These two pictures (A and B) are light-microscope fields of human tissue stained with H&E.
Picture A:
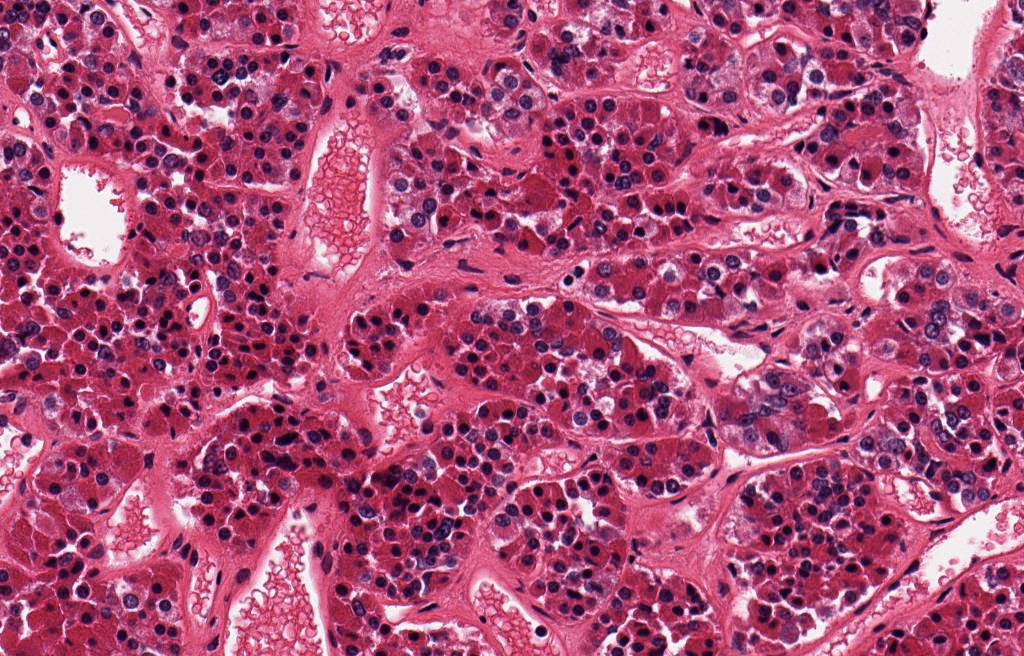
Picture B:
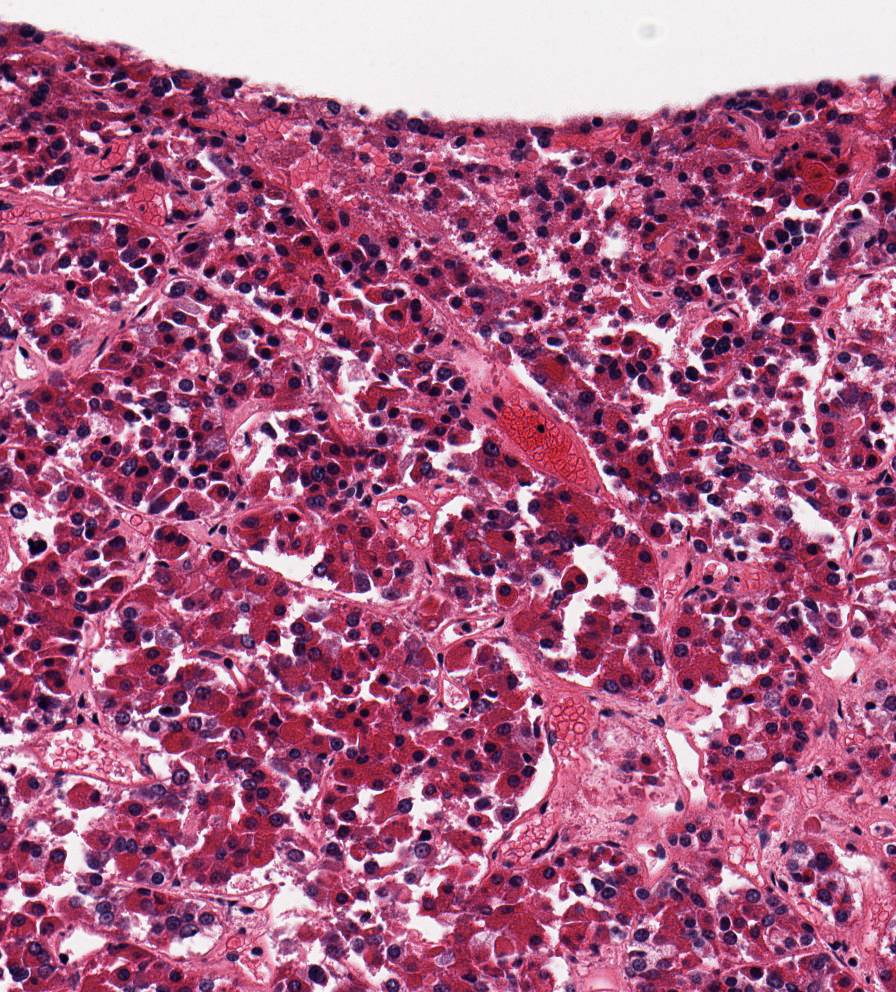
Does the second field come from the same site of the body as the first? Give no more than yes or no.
yes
